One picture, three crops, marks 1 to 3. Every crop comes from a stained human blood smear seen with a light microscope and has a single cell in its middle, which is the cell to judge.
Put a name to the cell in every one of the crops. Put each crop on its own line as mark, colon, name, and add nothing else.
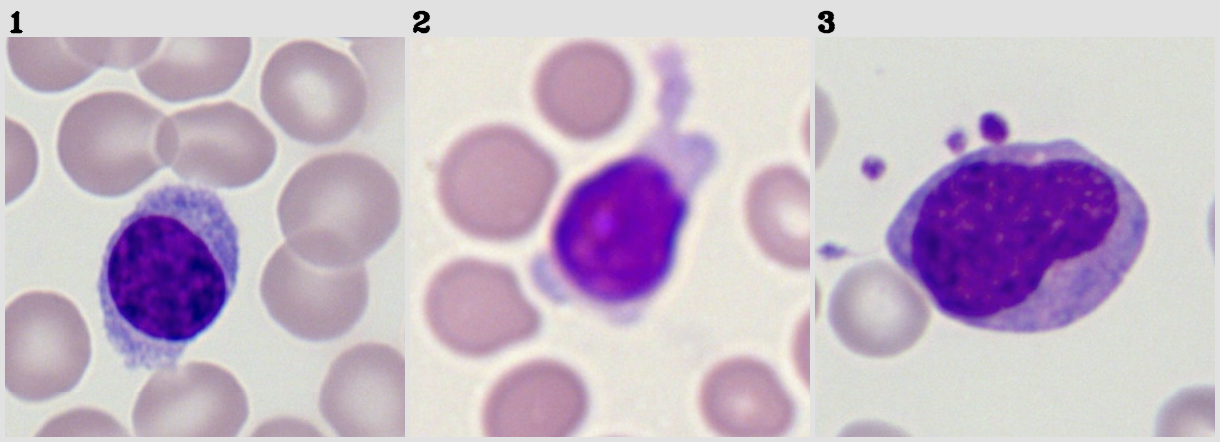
1: lymphocyte
2: lymphocyte
3: blast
